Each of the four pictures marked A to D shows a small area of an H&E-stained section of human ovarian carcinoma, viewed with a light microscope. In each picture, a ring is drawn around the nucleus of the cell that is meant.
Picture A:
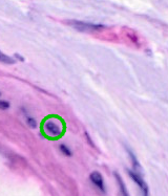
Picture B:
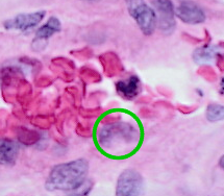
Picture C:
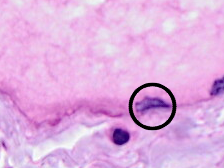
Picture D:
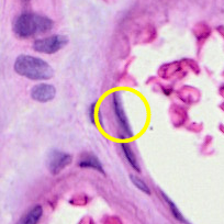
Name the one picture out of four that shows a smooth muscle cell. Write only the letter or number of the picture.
A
